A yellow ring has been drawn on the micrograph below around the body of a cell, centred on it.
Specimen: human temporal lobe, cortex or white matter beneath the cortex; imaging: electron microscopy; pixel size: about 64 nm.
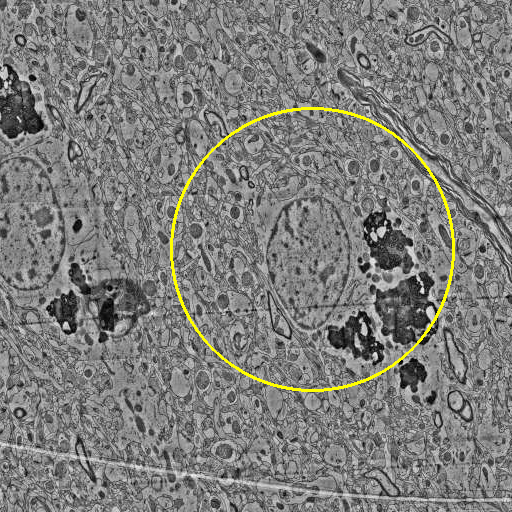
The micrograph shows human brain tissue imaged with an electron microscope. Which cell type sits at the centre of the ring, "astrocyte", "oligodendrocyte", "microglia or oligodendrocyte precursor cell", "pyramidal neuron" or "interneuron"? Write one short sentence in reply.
The cell sitting at the centre of the ring is an astrocyte.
